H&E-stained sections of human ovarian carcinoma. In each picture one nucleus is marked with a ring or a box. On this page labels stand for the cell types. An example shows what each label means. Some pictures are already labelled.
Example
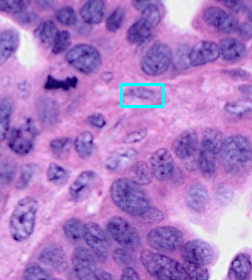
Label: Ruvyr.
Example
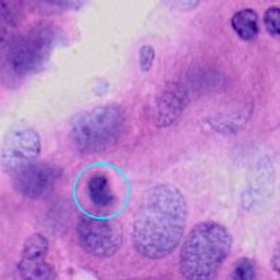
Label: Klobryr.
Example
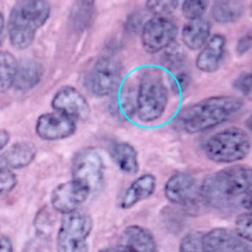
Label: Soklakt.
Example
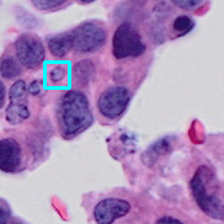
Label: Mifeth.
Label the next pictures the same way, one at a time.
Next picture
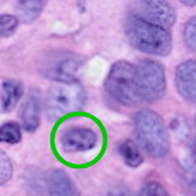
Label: Mifeth.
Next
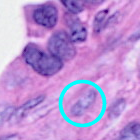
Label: Ruvyr.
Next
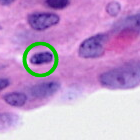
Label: Klobryr.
